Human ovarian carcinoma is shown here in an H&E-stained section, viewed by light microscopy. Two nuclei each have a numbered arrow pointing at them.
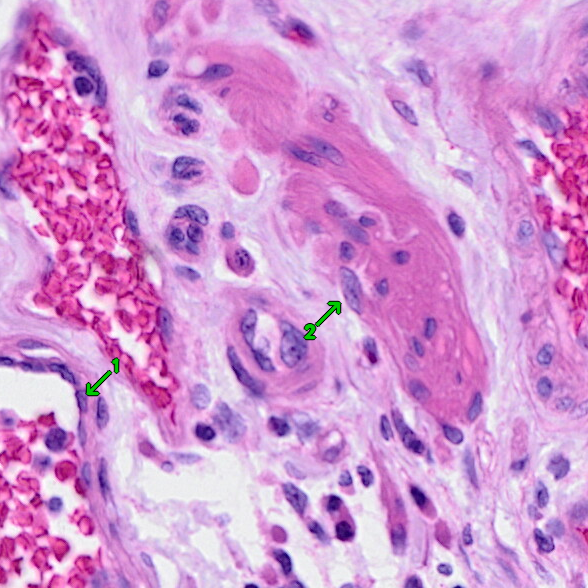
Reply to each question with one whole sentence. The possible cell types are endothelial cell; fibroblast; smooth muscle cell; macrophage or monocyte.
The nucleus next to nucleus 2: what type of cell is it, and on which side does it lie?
Lying to the right of nucleus 2, the nearest nucleus is that of a smooth muscle cell.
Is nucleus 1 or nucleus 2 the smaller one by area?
With nucleus 2 about 3 times its size, nucleus 1 is the smaller of the two.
